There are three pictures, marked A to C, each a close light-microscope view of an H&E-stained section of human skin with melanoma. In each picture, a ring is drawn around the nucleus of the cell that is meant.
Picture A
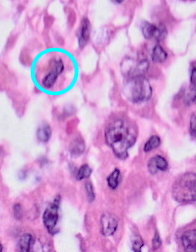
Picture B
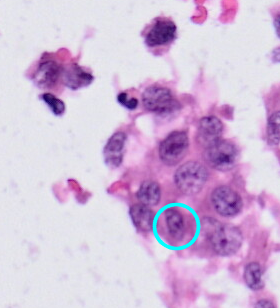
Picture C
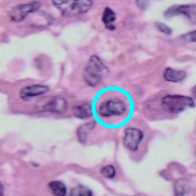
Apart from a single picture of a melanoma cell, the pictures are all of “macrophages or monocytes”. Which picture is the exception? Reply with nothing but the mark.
B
